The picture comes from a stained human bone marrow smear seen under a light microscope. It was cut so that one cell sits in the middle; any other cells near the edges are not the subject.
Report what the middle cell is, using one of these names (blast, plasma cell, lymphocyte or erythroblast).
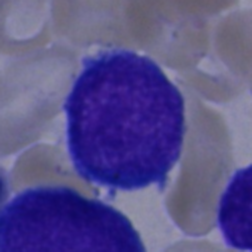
blast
